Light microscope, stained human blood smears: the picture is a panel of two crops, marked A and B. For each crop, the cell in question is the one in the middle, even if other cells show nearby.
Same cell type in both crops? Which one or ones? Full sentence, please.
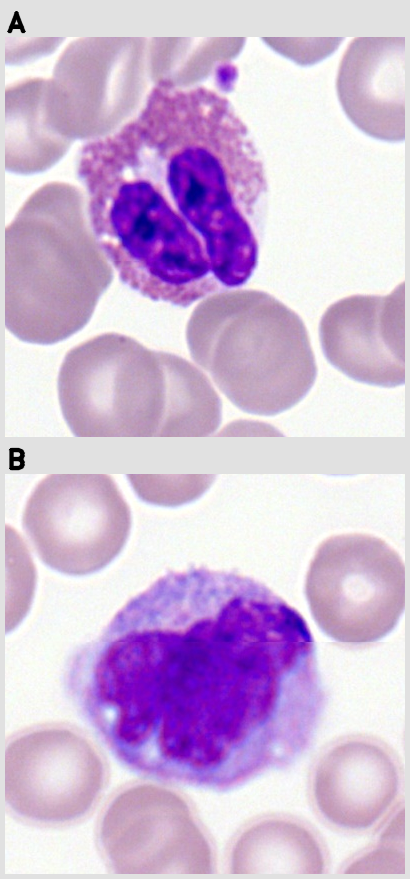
No, in crop A the cell is an eosinophil, and in crop B it is a monocyte.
